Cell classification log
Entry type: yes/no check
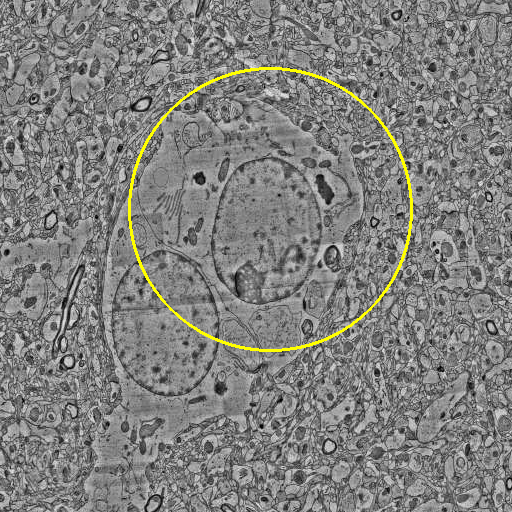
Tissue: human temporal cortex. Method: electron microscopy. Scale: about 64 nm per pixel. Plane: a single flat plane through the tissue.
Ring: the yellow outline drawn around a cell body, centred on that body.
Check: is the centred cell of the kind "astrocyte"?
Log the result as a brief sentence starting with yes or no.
Yes, the cell is of that kind.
